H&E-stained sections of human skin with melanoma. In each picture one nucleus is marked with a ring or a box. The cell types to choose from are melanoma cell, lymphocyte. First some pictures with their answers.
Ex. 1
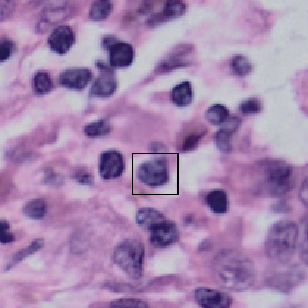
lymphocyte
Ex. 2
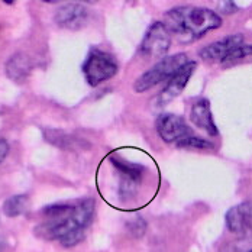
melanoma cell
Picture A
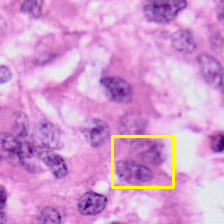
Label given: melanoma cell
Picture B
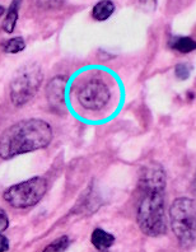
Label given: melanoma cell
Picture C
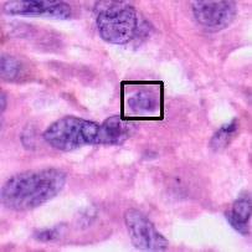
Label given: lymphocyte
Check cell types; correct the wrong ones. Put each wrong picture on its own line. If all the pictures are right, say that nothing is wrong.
C: not lymphocyte but melanoma cell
